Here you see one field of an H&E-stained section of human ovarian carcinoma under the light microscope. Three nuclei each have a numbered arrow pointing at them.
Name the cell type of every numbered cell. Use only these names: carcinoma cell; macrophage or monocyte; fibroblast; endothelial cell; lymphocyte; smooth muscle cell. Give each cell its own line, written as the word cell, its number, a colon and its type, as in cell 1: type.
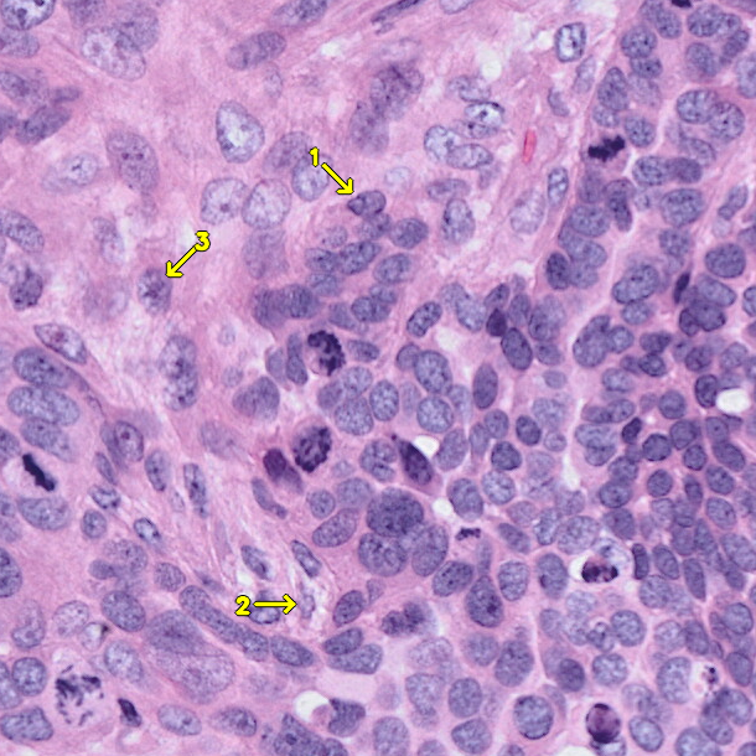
cell 1: macrophage or monocyte
cell 2: fibroblast
cell 3: fibroblast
